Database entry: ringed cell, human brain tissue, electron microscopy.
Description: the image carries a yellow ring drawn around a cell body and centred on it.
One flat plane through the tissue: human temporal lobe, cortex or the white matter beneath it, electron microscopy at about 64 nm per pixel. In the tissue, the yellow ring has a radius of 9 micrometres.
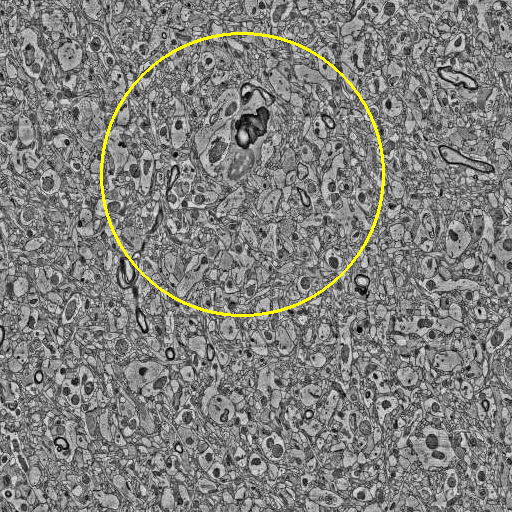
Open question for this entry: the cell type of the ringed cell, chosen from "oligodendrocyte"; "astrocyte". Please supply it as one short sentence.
The ringed cell is an oligodendrocyte.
